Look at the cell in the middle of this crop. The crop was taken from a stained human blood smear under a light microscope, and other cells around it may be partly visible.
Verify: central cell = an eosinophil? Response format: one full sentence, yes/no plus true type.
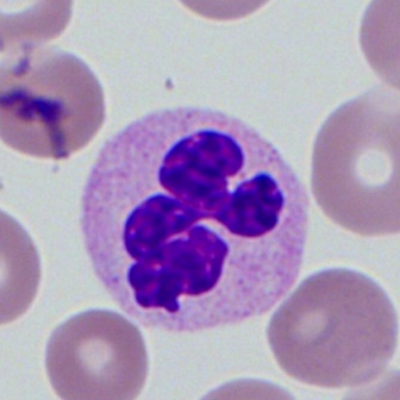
No, in the middle of the crop there is a neutrophil rather than an eosinophil.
